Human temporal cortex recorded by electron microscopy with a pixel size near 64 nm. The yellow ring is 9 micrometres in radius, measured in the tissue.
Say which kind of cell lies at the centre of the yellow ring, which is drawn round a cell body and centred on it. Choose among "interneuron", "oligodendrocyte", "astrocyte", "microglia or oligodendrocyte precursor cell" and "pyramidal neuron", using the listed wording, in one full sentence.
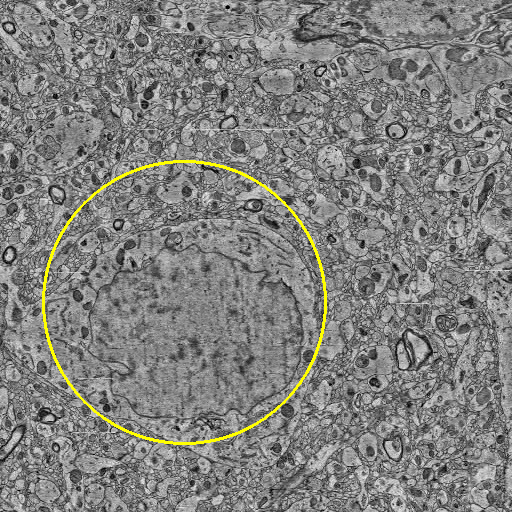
Going by the list, the cell at the yellow ring's centre is an interneuron.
